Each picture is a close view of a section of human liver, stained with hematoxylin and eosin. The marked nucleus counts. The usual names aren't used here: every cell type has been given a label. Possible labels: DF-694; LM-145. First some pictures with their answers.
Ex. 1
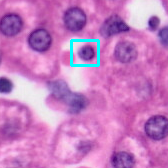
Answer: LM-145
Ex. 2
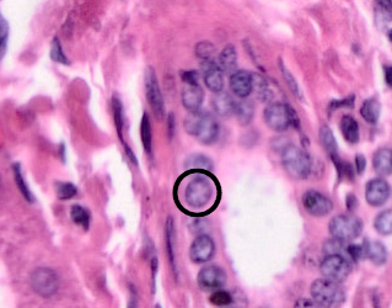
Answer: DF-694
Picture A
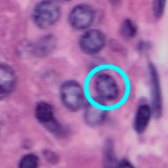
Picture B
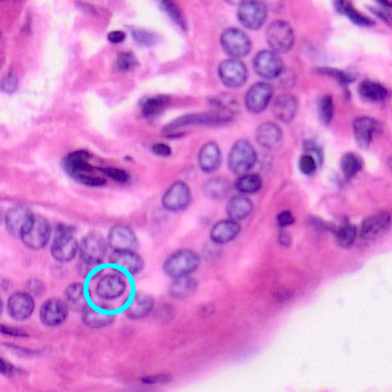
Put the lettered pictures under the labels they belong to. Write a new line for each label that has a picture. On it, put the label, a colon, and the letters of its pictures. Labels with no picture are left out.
DF-694: A, B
